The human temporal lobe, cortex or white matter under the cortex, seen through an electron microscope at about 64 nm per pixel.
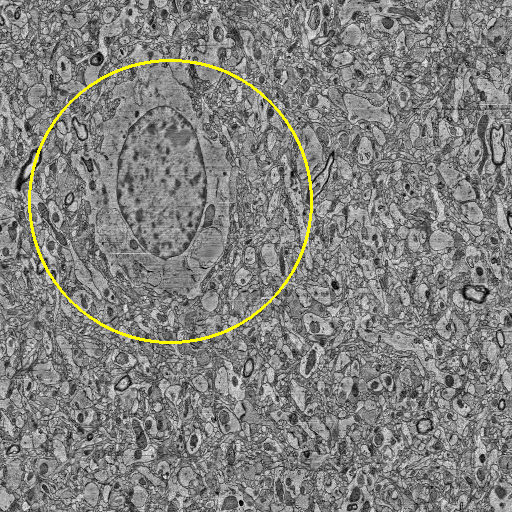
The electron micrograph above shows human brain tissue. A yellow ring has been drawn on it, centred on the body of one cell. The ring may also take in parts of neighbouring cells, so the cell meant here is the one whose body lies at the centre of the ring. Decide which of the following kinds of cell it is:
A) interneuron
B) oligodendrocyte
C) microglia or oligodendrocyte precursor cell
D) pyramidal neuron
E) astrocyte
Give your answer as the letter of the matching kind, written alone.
E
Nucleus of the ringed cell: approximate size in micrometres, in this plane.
About 10 by 6 micrometres; in this plane the nucleus is clearly longer than it is wide.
